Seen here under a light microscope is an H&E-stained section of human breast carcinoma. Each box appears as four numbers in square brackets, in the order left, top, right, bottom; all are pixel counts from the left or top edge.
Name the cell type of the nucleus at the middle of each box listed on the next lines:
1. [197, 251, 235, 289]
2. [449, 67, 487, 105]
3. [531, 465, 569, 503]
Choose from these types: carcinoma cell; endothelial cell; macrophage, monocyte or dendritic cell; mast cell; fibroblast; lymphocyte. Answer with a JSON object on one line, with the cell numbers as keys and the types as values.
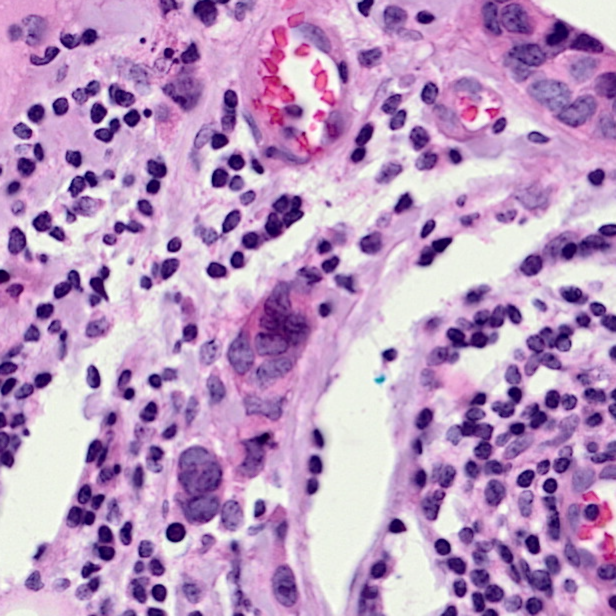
{"1": "lymphocyte", "2": "endothelial cell", "3": "lymphocyte"}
